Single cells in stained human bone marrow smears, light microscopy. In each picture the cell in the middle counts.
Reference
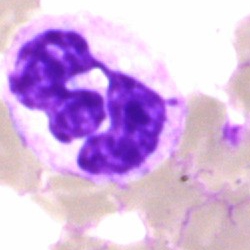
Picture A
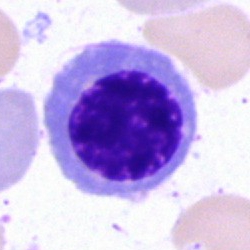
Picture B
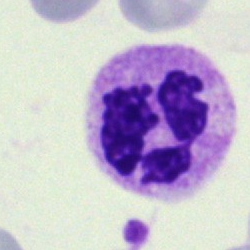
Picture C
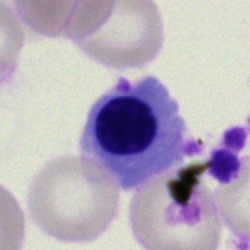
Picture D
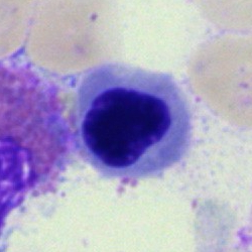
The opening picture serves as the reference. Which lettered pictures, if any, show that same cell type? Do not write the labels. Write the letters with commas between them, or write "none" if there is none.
B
